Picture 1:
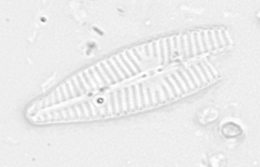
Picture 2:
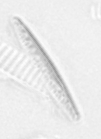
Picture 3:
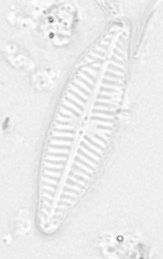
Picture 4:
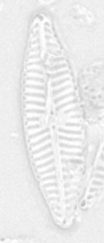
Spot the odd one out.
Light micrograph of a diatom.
Picture 2 (Nitzschia among Navicula).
